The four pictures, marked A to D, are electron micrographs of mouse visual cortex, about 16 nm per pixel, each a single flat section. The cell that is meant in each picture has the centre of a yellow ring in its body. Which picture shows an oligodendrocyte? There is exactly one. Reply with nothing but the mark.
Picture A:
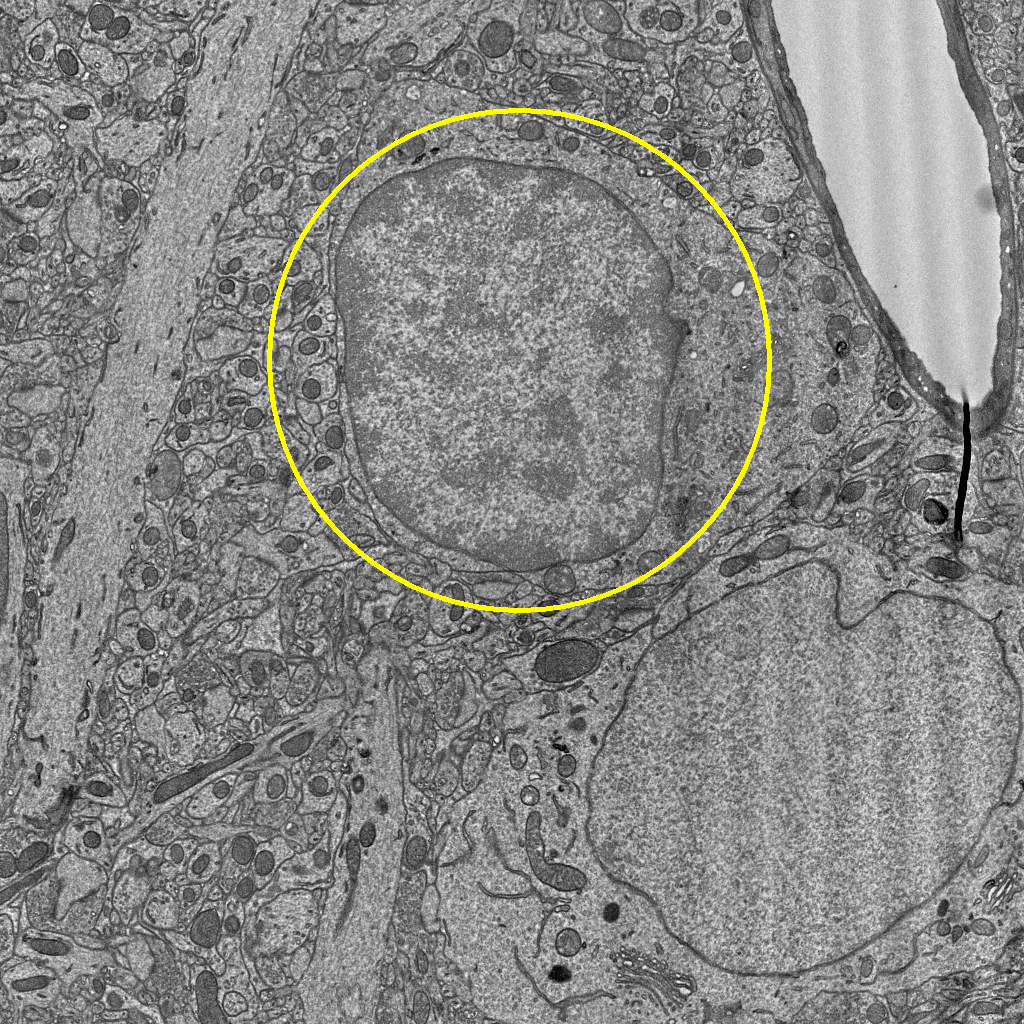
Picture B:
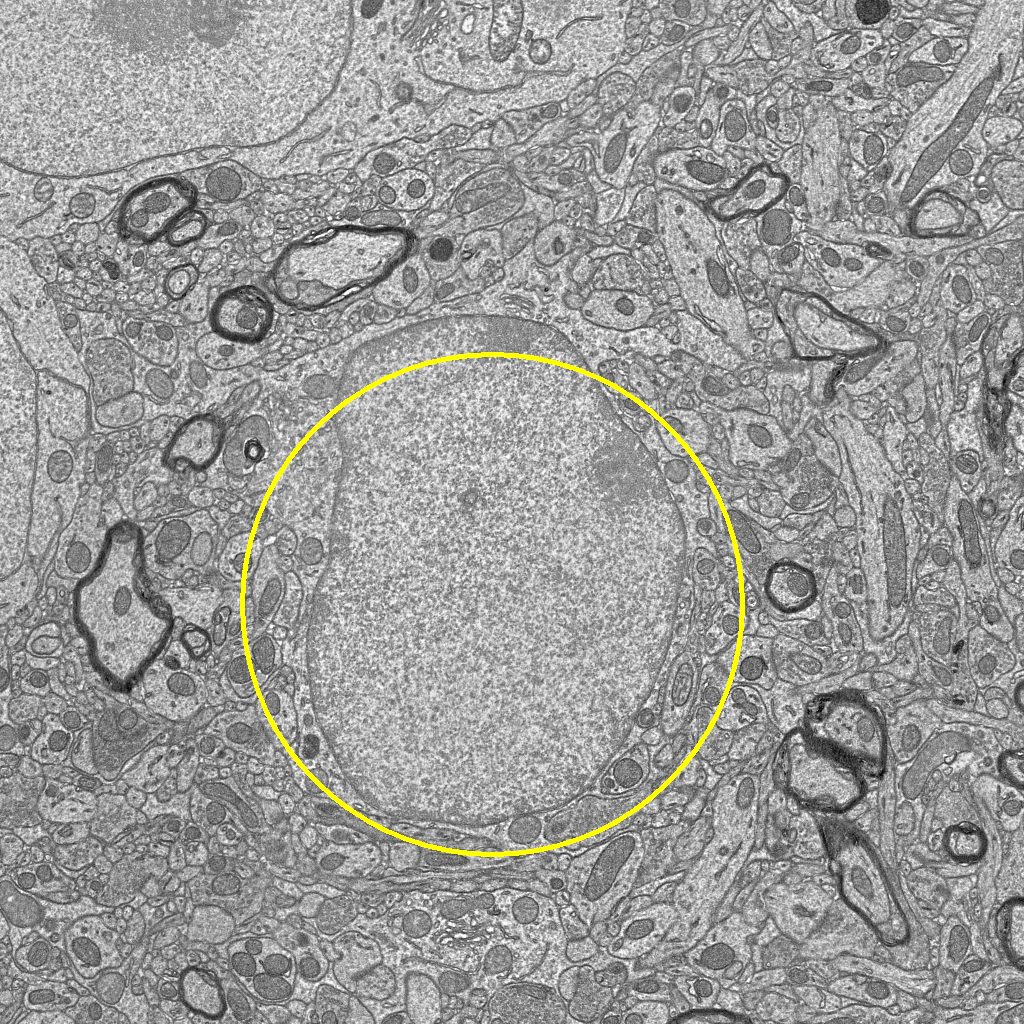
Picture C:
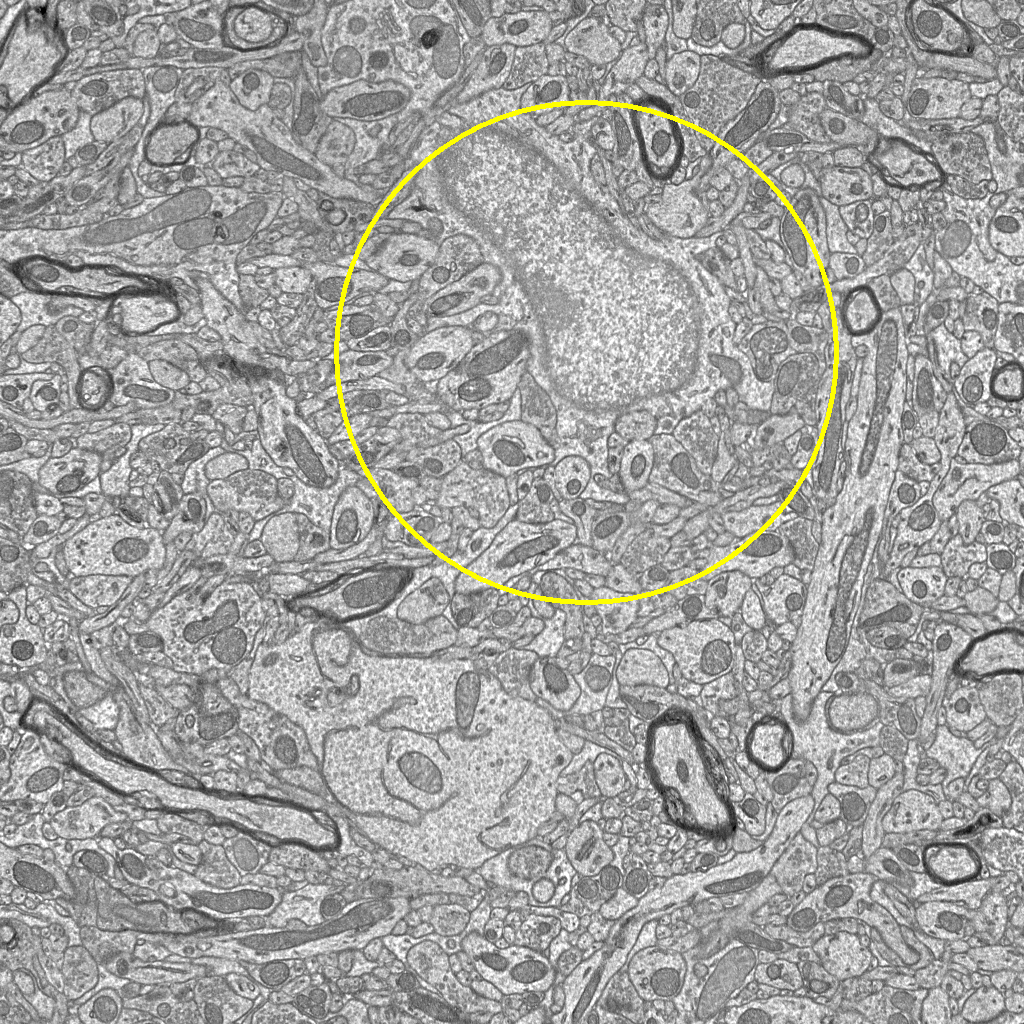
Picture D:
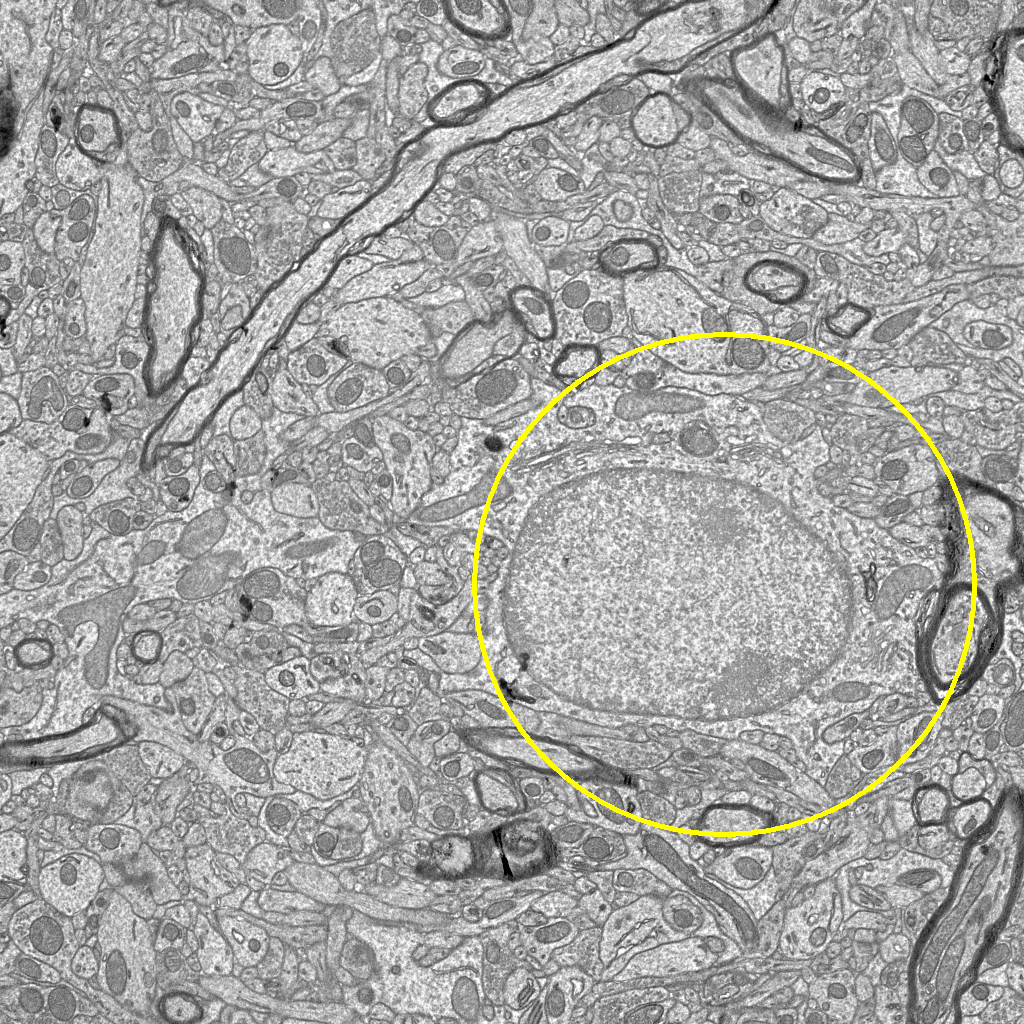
A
